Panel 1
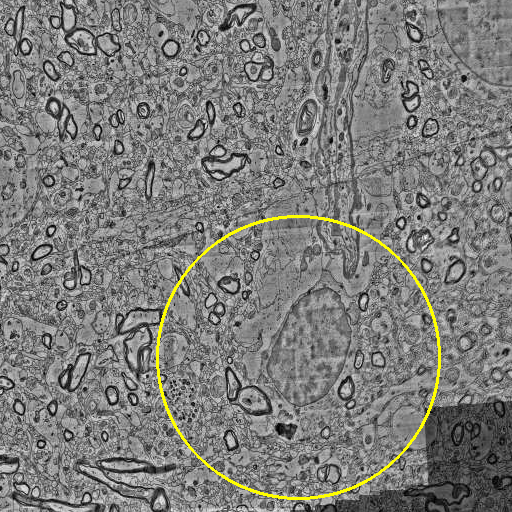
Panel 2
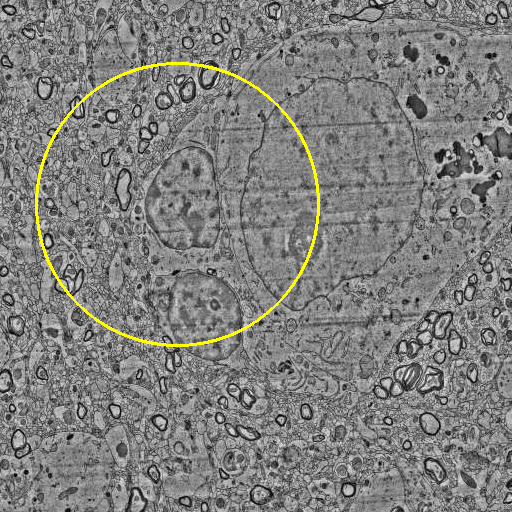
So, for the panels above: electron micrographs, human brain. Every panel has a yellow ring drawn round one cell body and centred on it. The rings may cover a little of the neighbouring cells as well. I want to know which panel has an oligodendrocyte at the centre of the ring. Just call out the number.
1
